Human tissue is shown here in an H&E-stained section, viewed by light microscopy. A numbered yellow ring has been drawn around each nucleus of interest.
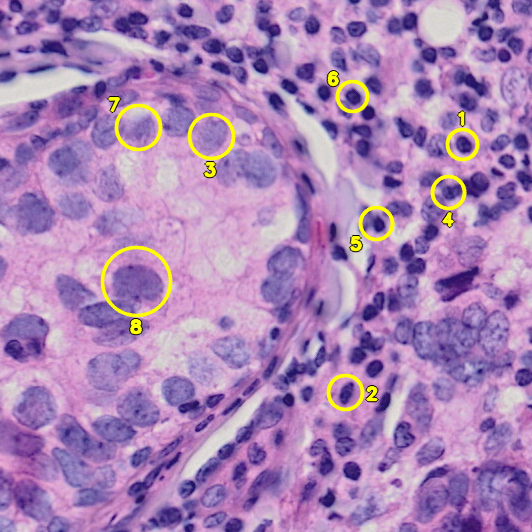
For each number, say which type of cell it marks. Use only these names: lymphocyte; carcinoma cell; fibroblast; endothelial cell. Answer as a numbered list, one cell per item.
1. lymphocyte
2. lymphocyte
3. carcinoma cell
4. lymphocyte
5. lymphocyte
6. lymphocyte
7. carcinoma cell
8. carcinoma cell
